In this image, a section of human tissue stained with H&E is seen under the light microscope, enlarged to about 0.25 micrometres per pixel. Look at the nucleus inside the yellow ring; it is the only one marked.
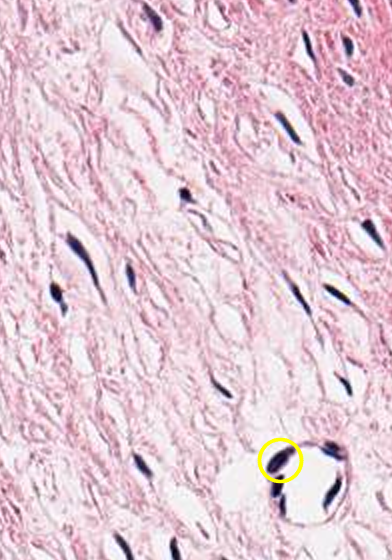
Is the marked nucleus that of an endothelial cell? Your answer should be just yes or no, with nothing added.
yes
